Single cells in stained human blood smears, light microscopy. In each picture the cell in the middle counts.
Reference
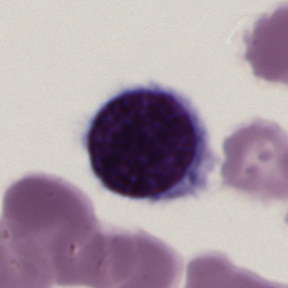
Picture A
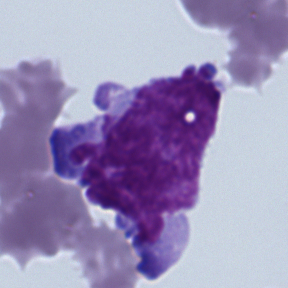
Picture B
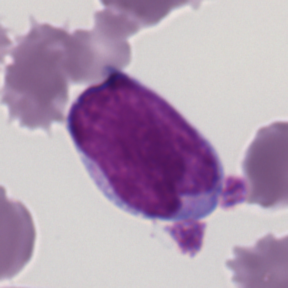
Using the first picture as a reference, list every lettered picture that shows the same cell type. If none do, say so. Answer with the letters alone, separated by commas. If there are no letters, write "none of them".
none of them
